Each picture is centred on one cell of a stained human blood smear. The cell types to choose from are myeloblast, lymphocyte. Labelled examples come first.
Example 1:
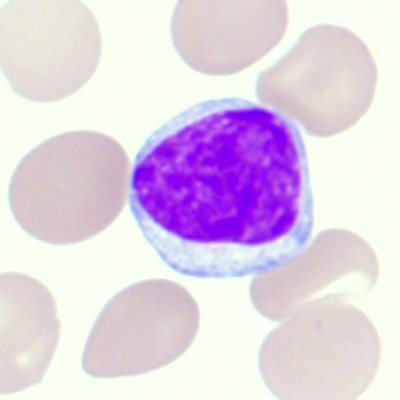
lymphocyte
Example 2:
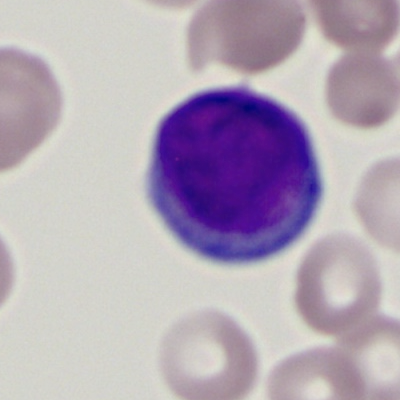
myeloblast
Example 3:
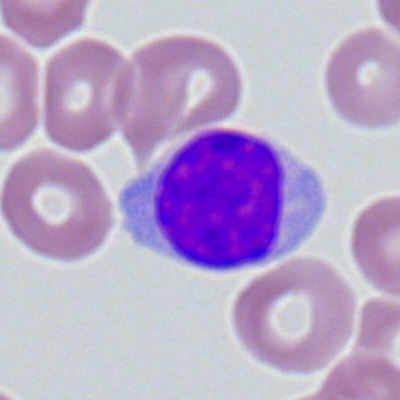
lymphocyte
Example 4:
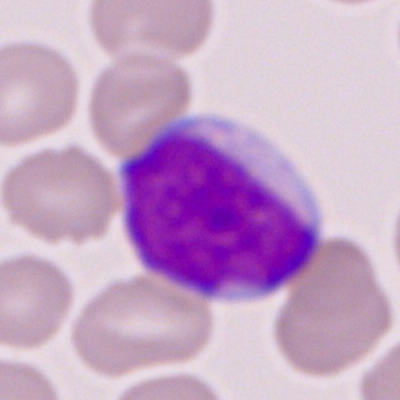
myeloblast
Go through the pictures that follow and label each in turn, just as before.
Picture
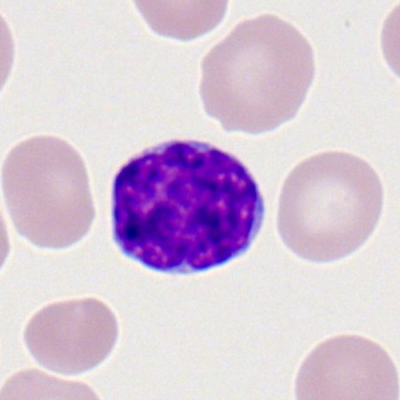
lymphocyte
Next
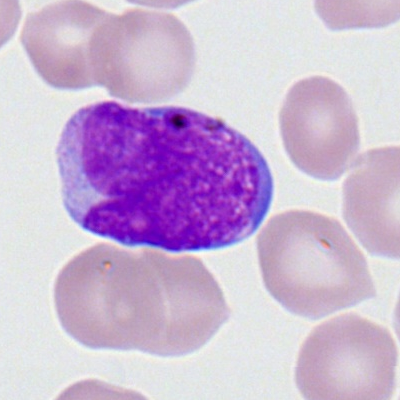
myeloblast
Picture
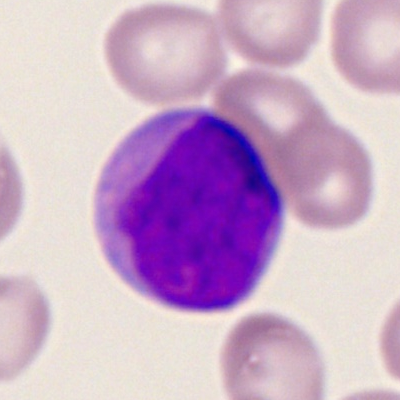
myeloblast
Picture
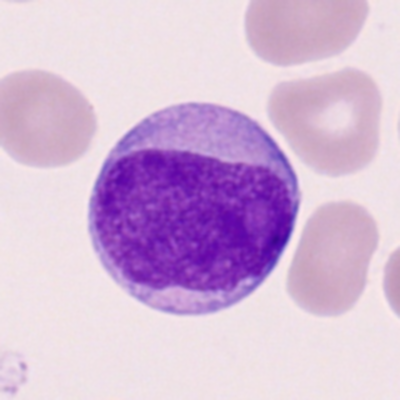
myeloblast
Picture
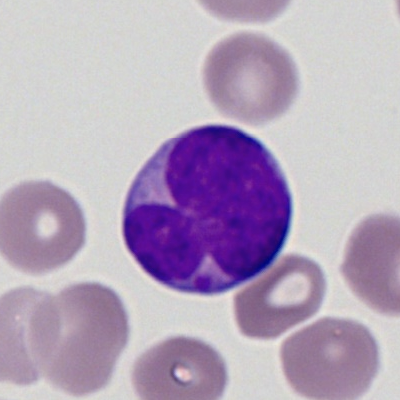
myeloblast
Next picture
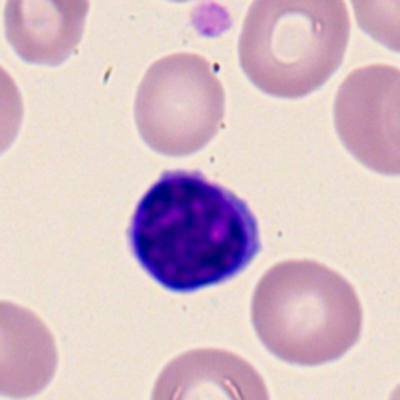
lymphocyte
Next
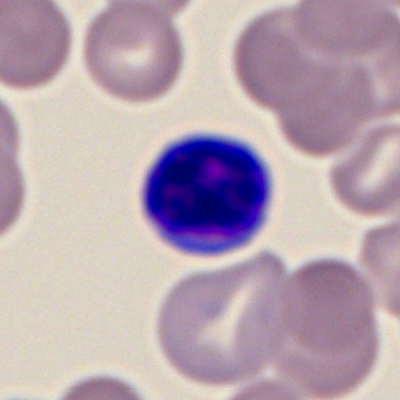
lymphocyte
